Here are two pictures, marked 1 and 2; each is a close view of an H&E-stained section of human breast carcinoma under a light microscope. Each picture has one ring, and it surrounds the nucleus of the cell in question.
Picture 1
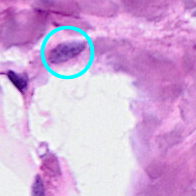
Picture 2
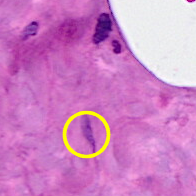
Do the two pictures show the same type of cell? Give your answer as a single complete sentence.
Yes, they are the same type: both are fibroblasts.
